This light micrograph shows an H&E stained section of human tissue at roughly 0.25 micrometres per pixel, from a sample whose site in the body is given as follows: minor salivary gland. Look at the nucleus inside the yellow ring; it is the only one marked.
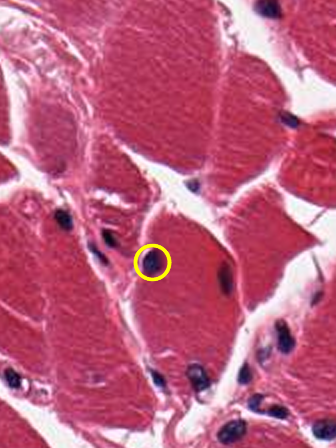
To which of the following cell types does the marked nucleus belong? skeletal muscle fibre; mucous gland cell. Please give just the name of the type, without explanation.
skeletal muscle fibre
